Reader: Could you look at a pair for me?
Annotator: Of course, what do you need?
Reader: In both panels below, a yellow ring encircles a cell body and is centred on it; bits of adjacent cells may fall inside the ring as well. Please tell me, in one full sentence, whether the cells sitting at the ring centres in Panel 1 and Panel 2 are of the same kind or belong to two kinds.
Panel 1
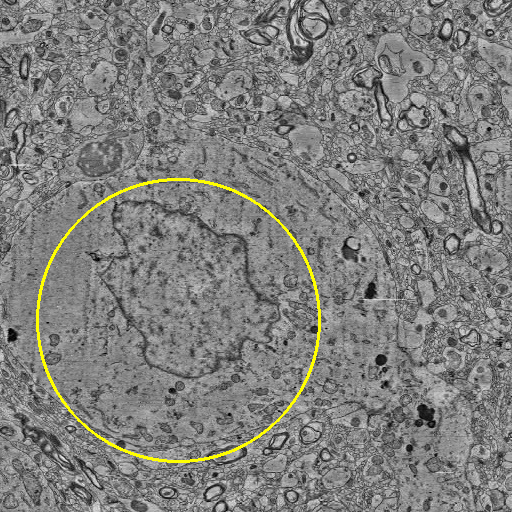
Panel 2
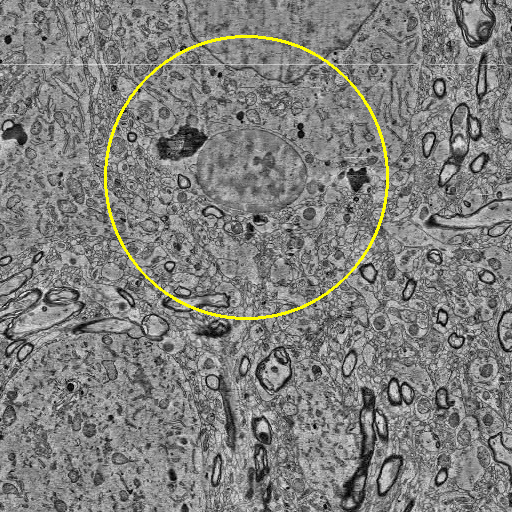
The cell at the ring's centre in Panel 1 and the one in Panel 2 belong to two kinds.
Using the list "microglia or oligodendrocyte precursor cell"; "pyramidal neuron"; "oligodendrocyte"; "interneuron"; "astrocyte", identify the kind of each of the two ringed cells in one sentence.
The first is a pyramidal neuron and the second is an oligodendrocyte.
